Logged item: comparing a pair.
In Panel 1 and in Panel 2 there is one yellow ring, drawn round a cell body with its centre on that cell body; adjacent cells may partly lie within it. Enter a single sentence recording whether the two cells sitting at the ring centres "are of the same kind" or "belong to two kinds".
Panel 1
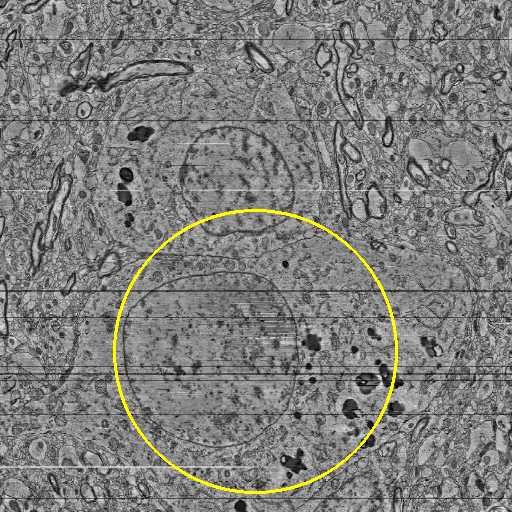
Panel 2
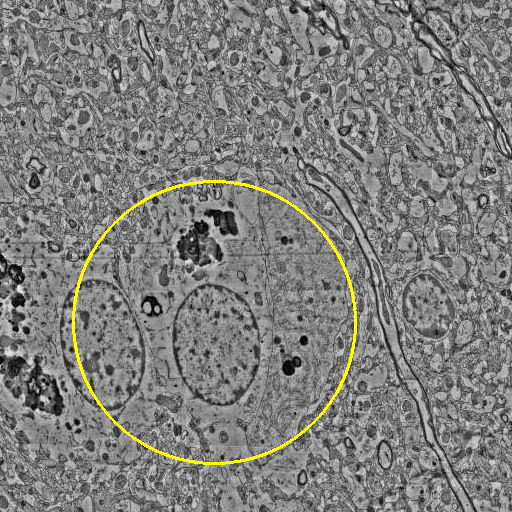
Logged: the cells centred in the rings of Panel 1 and Panel 2 belong to two kinds.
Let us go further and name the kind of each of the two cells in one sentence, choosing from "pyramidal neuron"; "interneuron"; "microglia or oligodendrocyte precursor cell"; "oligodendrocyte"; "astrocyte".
The ring of the first picture is on a pyramidal neuron, the ring of the second on an astrocyte.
